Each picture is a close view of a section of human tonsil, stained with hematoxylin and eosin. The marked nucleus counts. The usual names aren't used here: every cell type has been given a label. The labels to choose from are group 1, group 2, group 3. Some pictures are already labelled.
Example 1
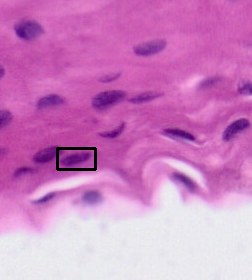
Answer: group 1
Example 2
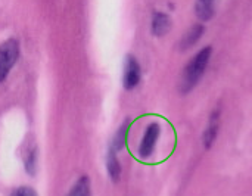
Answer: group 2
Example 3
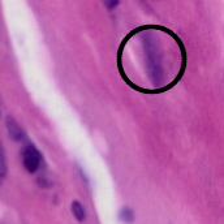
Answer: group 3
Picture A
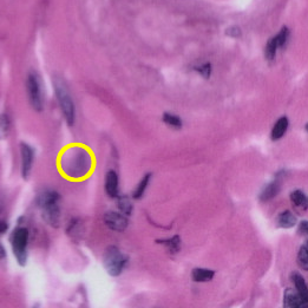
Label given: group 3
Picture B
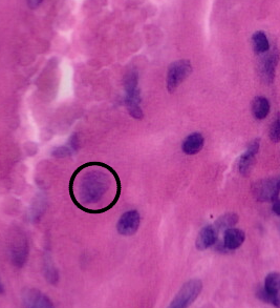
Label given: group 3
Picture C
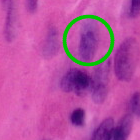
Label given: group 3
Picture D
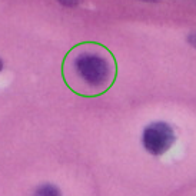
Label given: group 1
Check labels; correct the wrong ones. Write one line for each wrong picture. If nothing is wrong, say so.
No label is wrong.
